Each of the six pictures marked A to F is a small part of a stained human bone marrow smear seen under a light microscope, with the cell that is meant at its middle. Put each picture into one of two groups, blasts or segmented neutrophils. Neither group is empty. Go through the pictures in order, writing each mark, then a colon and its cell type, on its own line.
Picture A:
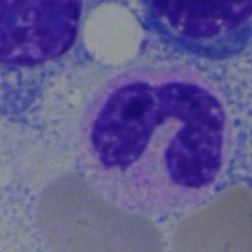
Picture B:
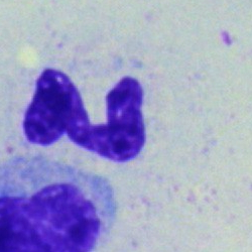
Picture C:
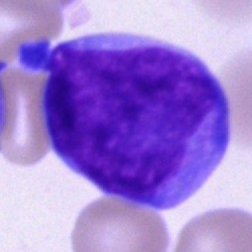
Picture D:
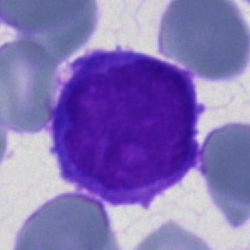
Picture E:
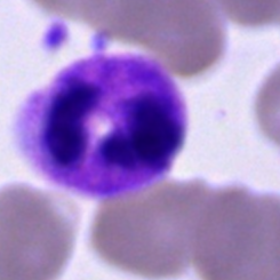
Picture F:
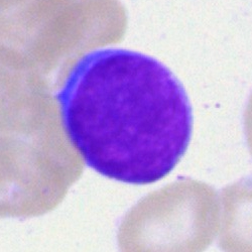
A: segmented neutrophil
B: segmented neutrophil
C: blast
D: blast
E: segmented neutrophil
F: blast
